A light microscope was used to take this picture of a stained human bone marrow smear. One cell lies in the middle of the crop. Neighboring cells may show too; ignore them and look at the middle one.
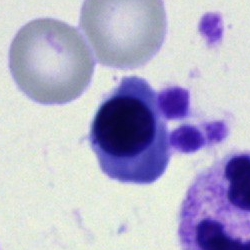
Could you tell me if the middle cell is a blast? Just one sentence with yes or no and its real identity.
No, that would be a normoblast, not a blast, for the cell at the centre.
